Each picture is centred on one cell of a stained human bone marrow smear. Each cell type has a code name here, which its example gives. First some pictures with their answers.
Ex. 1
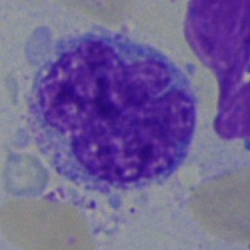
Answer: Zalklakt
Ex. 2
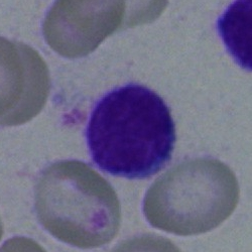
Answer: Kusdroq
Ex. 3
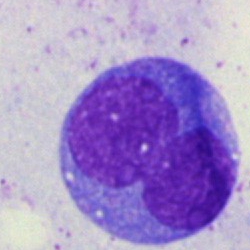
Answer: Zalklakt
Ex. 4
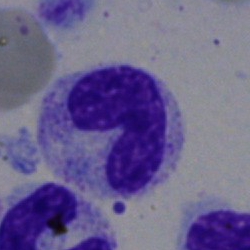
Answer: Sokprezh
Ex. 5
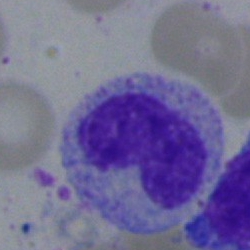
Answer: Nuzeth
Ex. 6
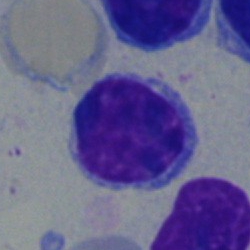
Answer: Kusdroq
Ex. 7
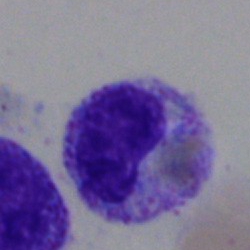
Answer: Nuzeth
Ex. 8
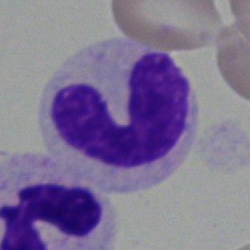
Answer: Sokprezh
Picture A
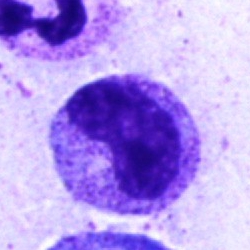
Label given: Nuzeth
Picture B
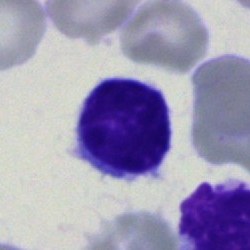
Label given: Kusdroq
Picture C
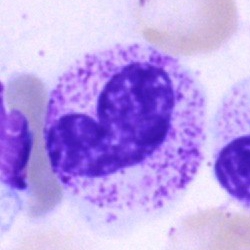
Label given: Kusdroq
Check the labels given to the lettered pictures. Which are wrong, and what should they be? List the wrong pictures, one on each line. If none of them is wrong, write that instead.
C: not Kusdroq but Nuzeth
